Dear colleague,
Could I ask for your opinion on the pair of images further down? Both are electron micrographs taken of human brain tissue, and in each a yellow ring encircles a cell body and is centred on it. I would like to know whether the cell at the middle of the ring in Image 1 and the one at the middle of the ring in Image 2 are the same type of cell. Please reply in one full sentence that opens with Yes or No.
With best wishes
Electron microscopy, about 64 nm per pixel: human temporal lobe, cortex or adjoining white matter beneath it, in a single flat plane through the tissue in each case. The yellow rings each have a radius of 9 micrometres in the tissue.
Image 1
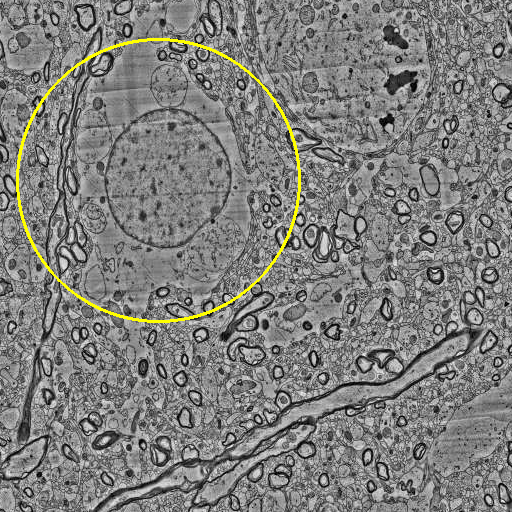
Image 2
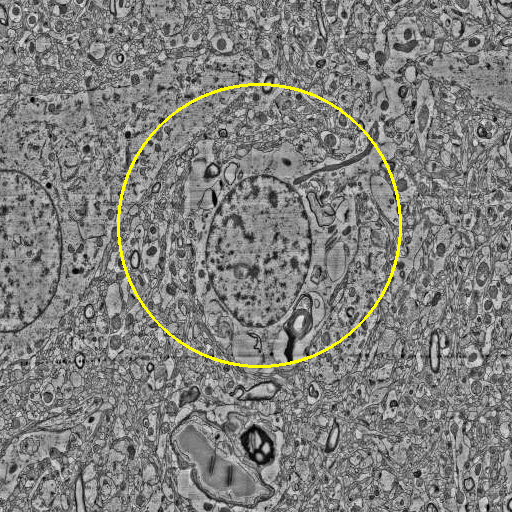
Yes, the cells at the ring centres in Image 1 and Image 2 are of one type.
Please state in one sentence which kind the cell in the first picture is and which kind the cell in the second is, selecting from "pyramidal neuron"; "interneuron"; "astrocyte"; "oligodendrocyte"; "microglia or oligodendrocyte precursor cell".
Each cell, in the first picture and the second, is an astrocyte.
